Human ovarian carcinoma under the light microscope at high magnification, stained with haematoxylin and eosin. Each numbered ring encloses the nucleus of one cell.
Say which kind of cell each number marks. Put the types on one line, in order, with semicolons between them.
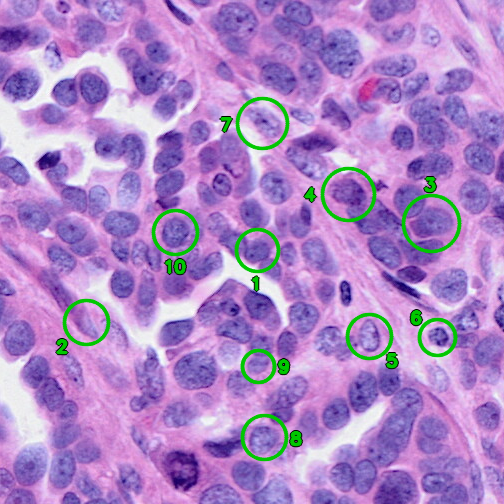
carcinoma cell; fibroblast; carcinoma cell; carcinoma cell; fibroblast; lymphocyte; fibroblast; carcinoma cell; carcinoma cell; carcinoma cell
